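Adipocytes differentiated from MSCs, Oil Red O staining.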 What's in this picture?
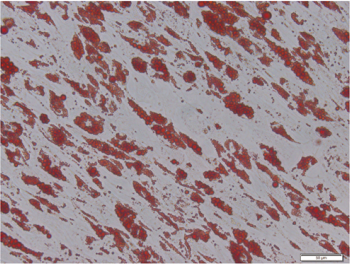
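The cells lie in a dense, roughly parallel arrangement, many elongated or spindle-like, running diagonally across the field. Within them, red-stained droplets gather into irregular clusters and patches that occupy much of the cytoplasm. Some cells are heavily filled, while others hold only scattered small red droplets. Between the stained cells the background is pale grey to white with faint outlines of unstained cytoplasm.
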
